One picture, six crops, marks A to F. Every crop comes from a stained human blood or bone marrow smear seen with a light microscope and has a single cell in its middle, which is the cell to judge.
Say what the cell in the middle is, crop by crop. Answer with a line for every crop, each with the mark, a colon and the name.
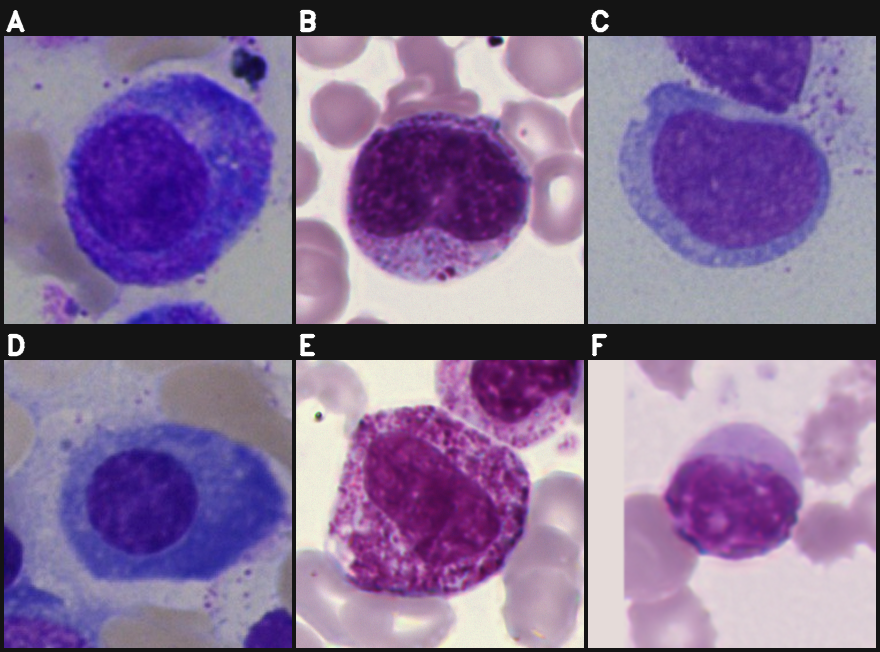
A: promyelocyte
B: myelocyte
C: promyelocyte
D: plasma cell
E: myelocyte
F: plasma cell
